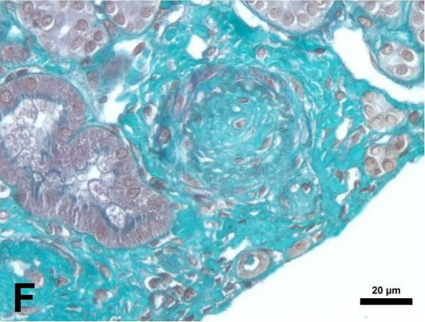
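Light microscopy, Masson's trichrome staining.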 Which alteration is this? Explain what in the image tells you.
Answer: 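Concentric hyperplasia. A round vessel shows layered, onion-skin-like concentric wall thickening. The lumen is practically obliterated. Green-stained fibrous tissue surrounds it.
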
